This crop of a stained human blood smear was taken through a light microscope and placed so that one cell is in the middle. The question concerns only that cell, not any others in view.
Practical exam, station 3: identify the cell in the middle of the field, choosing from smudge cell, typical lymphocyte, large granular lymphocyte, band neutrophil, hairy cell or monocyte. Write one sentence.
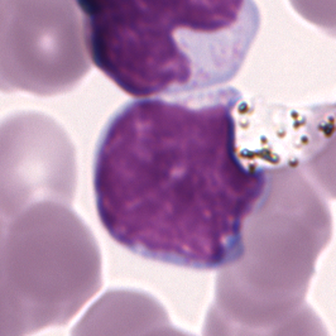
To answer, the cell in the center of the crop is a large granular lymphocyte.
